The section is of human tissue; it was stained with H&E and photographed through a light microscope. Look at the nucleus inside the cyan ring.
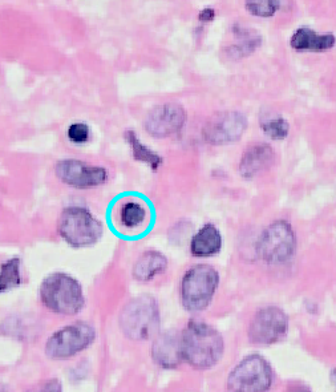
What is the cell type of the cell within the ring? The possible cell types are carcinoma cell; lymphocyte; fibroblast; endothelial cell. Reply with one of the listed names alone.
lymphocyte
